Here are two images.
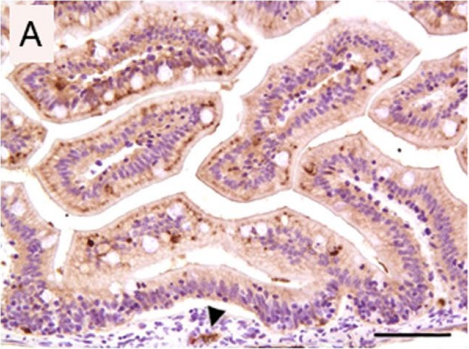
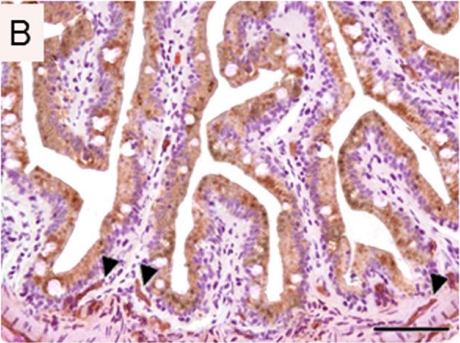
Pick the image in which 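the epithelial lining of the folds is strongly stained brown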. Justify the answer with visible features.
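The second image. Second image: the columnar lining of the folds is a deep brown. First image: the columnar lining is only pale brown.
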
